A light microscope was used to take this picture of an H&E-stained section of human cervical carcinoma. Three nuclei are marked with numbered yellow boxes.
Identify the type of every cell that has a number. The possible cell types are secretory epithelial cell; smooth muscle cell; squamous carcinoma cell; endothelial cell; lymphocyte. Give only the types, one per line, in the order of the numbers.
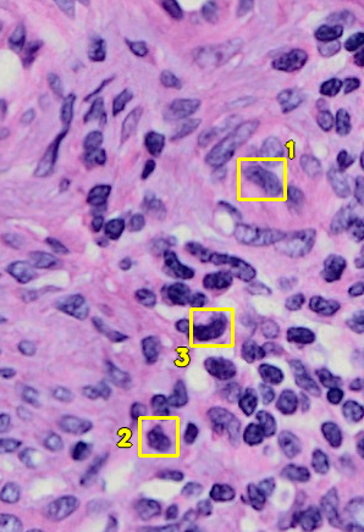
endothelial cell
lymphocyte
lymphocyte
